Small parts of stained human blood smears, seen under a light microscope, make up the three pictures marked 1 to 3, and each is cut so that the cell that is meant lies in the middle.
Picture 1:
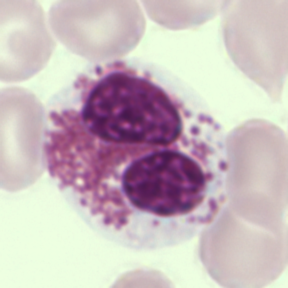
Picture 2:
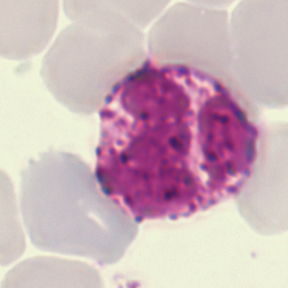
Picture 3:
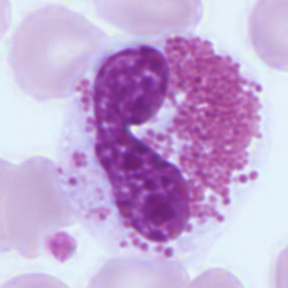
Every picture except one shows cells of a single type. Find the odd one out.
2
